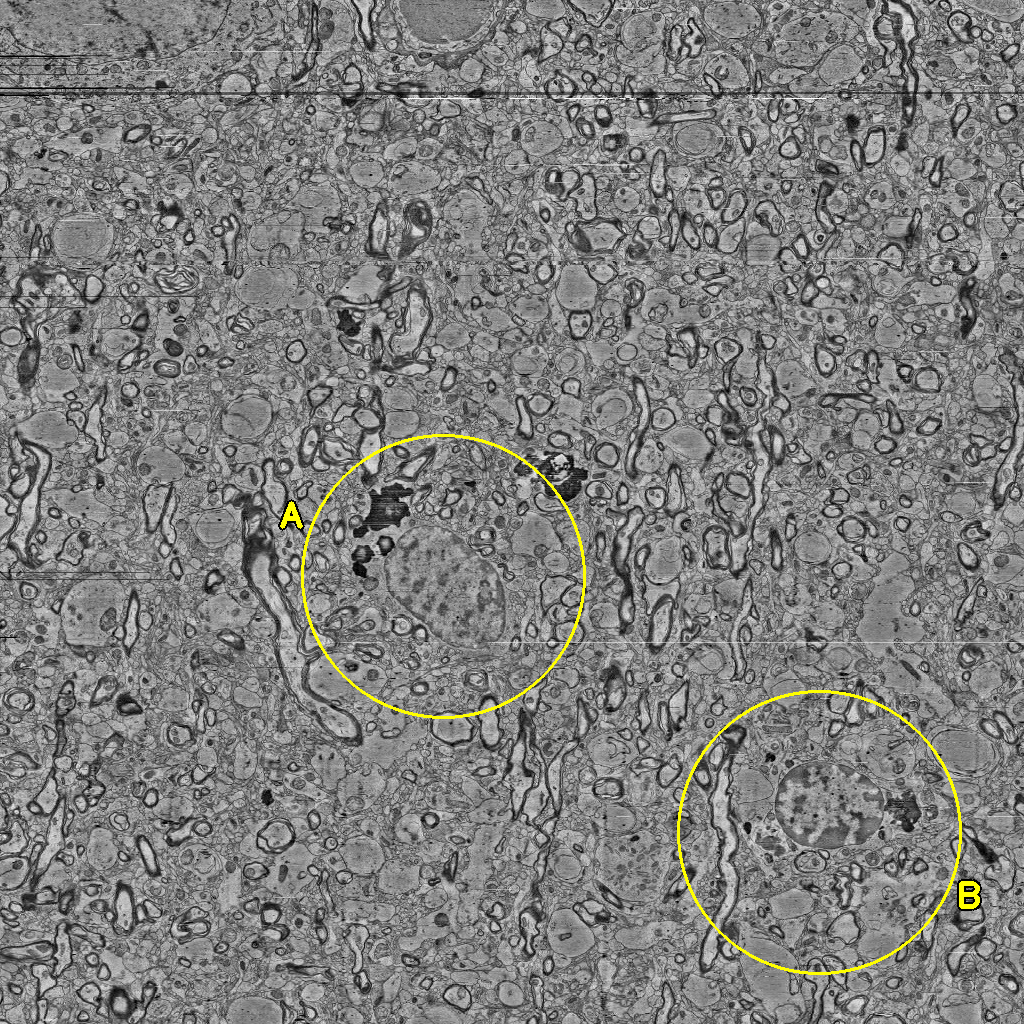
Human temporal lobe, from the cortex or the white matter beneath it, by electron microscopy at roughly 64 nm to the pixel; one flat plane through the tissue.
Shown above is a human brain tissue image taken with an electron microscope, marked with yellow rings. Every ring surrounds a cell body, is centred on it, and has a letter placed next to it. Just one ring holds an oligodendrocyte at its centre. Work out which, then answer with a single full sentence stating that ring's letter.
Ring A is the one whose centre holds a cell of that kind.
